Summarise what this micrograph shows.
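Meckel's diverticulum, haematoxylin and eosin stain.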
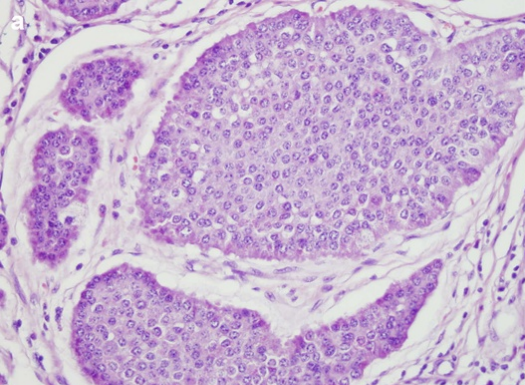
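This is a neuroendocrine tumour made of cells packed in rounded solid nests, separated by thin bands of loose fibrous stroma. Some small clear spaces lie within the nests, and the stroma between them contains scattered slender spindle-shaped nuclei.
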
